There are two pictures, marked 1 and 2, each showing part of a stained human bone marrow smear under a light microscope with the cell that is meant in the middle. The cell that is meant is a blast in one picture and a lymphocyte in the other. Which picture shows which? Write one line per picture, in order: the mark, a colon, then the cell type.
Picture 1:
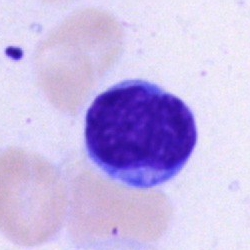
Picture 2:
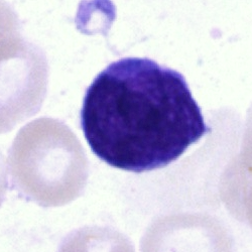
1: lymphocyte
2: blast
